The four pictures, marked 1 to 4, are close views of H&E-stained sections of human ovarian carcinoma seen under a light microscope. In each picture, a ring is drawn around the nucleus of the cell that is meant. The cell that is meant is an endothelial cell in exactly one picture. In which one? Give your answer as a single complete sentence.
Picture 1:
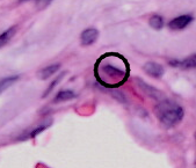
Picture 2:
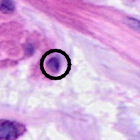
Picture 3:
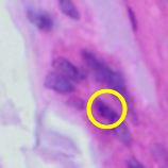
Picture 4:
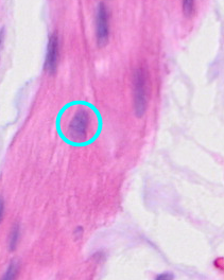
It is picture 1 that shows the endothelial cell.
